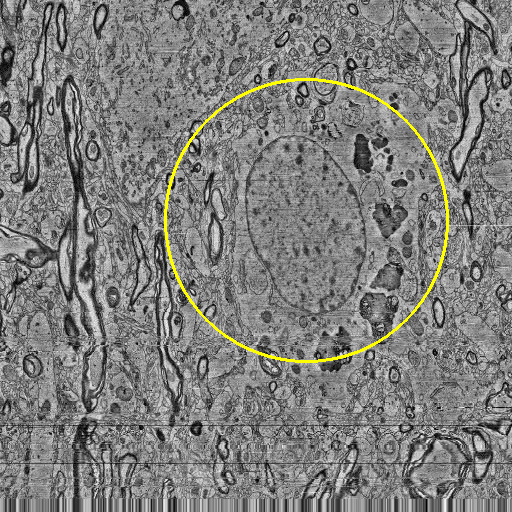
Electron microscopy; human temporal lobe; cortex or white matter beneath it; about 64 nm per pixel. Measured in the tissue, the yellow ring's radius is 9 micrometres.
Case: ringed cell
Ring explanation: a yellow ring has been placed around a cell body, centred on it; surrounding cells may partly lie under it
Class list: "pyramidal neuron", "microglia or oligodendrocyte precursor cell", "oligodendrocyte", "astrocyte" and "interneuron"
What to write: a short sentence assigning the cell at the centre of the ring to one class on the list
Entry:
The cell at the ring's centre is an astrocyte.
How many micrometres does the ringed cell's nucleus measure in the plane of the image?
Approximately 12 by 7 micrometers, which makes the nucleus clearly longer than it is wide in this plane.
